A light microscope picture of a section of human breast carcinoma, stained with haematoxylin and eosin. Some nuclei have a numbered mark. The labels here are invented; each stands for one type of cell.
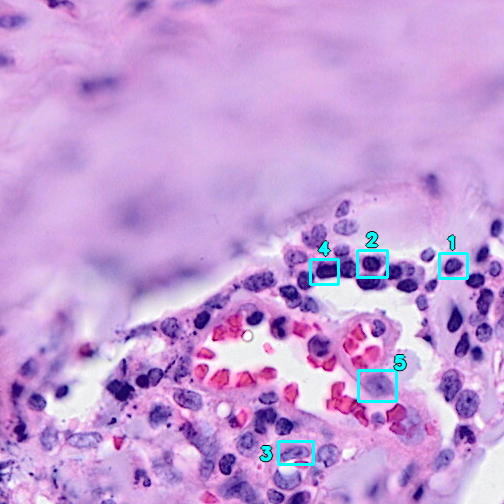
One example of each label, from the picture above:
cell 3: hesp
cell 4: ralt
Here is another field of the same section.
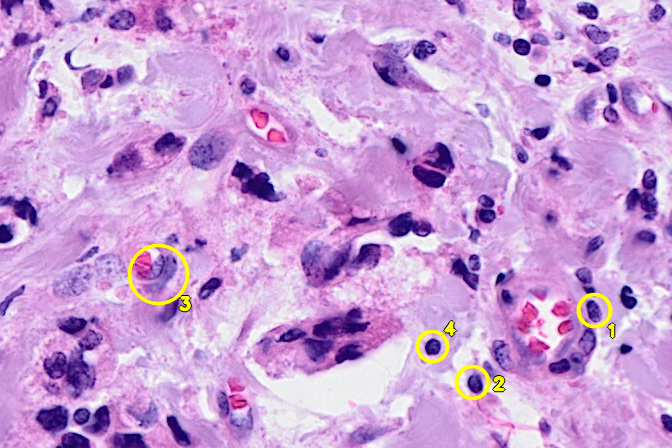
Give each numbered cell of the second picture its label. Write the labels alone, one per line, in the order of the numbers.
ralt
ralt
hesp
ralt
